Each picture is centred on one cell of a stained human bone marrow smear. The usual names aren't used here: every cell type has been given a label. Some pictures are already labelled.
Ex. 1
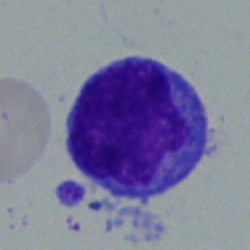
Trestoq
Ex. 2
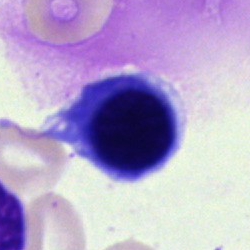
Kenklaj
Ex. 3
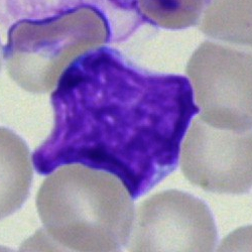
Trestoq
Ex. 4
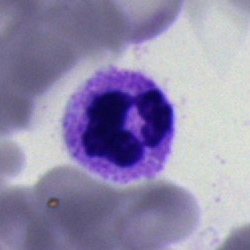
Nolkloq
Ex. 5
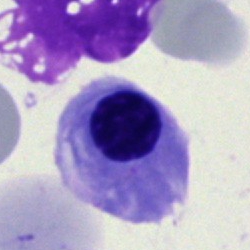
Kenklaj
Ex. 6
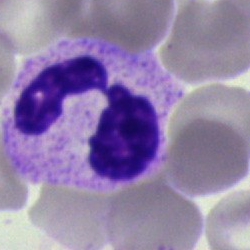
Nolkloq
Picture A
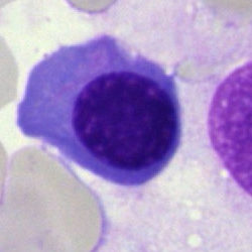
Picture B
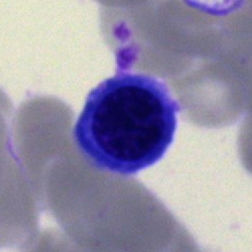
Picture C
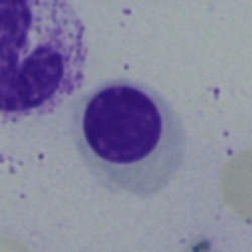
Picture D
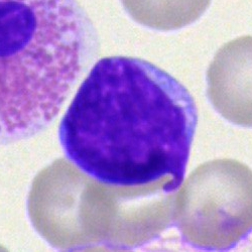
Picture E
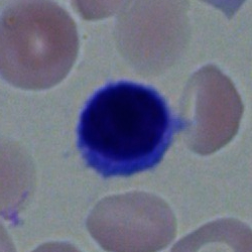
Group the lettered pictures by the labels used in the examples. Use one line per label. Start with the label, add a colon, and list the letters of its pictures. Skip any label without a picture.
Trestoq: D
Kenklaj: A, B, C, E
